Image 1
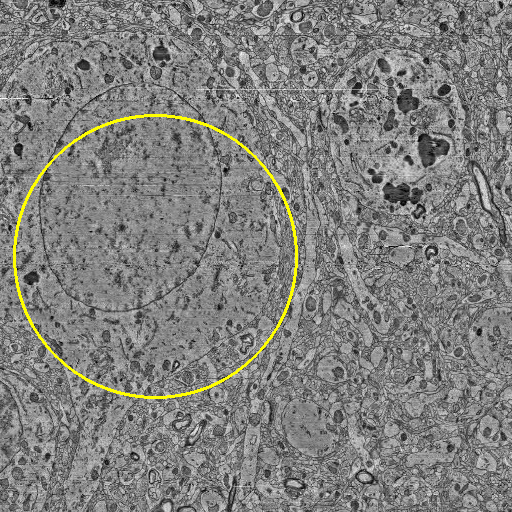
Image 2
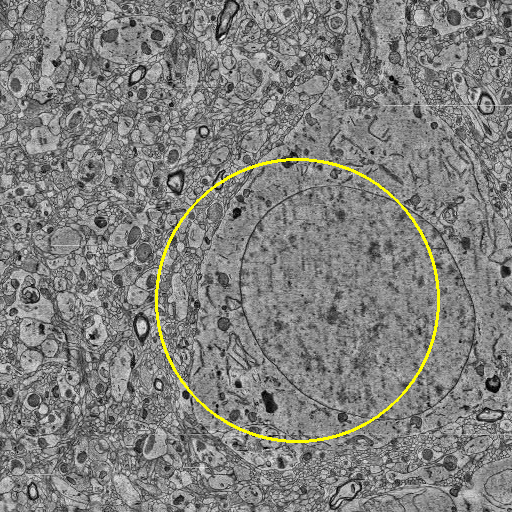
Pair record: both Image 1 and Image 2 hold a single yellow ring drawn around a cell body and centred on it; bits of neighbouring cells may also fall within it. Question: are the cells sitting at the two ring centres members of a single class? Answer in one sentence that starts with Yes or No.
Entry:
Yes, both ring-centre cells in Image 1 and Image 2 are members of one class.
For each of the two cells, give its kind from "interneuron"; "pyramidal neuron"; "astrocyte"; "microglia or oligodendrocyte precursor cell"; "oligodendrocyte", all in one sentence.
The cell in the first picture is a pyramidal neuron, and so is the one in the second.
